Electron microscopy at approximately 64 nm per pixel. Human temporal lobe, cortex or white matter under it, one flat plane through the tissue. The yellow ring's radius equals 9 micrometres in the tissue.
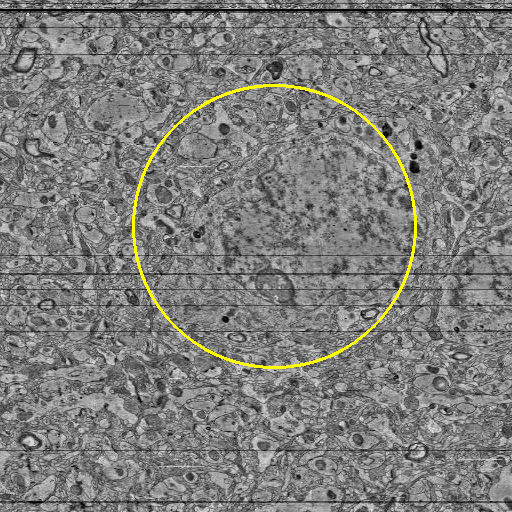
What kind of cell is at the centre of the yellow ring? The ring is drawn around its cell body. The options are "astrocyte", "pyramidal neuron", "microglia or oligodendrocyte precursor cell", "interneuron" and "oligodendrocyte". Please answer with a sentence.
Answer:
The yellow ring marks the cell body of an interneuron.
